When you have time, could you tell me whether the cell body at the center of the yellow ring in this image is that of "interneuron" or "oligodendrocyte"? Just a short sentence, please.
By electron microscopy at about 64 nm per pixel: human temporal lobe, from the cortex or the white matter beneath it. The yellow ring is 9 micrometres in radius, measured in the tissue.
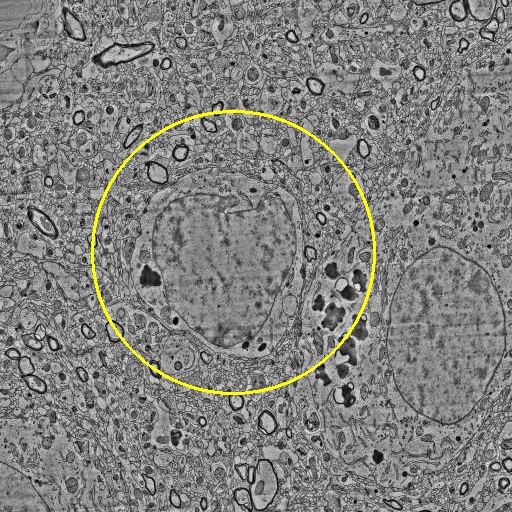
The cell body at the center of the ring is that of an interneuron.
